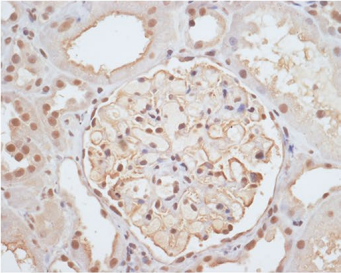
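Kidney cortex with a glomerulus in the centre, surrounded by tubules. The glomerular tuft is round and lobulated, its capillary loops outlined by brown staining of the walls, with blue and some brown nuclei between them. A thin capsule with a narrow space encloses the tuft. The surrounding tubules are lined by cuboidal epithelial cells with granular pale-brown cytoplasm; many of their nuclei stain dark brown. Some tubular lumens are open, others contain pale flocculent material. Narrow interstitium with scattered elongated nuclei separates the tubules.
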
